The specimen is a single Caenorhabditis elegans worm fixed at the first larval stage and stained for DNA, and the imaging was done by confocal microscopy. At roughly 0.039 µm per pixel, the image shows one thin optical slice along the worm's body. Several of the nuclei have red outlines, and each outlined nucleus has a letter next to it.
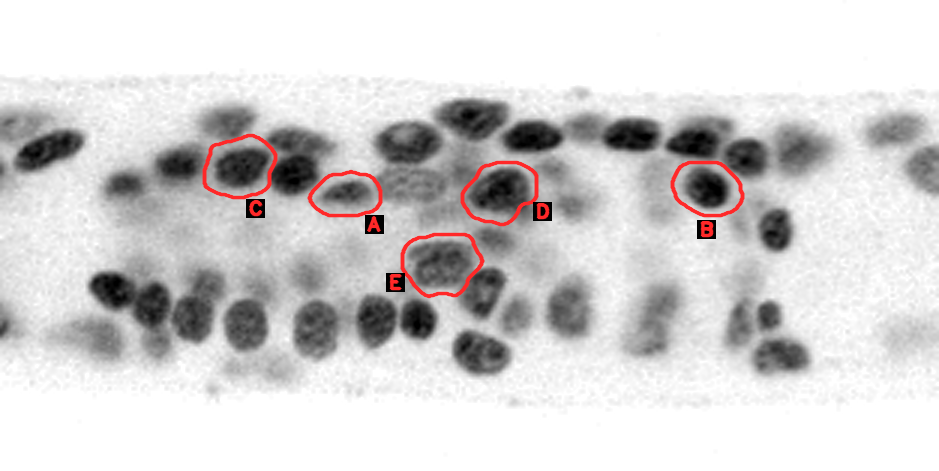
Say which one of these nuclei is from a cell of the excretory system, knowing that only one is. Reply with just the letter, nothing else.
A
